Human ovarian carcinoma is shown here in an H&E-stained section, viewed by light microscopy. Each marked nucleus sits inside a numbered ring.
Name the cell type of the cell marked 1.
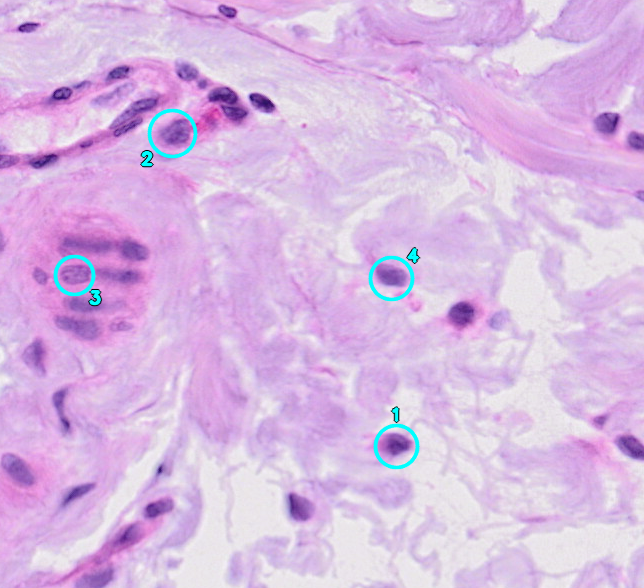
fibroblast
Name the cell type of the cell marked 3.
smooth muscle cell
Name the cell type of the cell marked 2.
endothelial cell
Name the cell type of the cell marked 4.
fibroblast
